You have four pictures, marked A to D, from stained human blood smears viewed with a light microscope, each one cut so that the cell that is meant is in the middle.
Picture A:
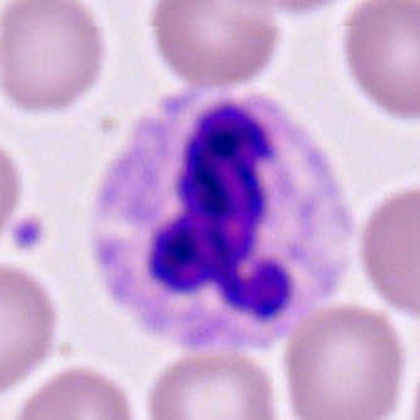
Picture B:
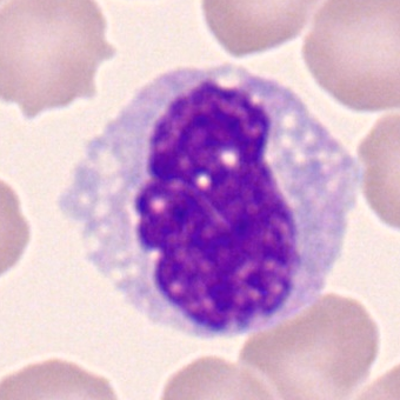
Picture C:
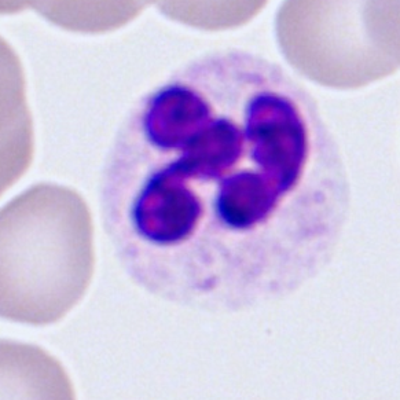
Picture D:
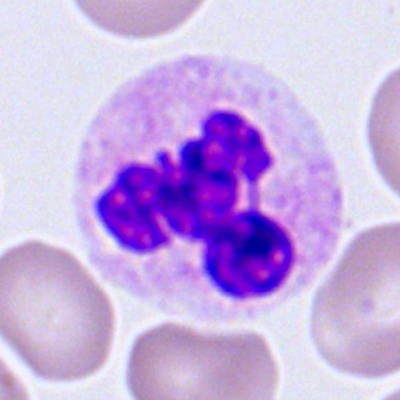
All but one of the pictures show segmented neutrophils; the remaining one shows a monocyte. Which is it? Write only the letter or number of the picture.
B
